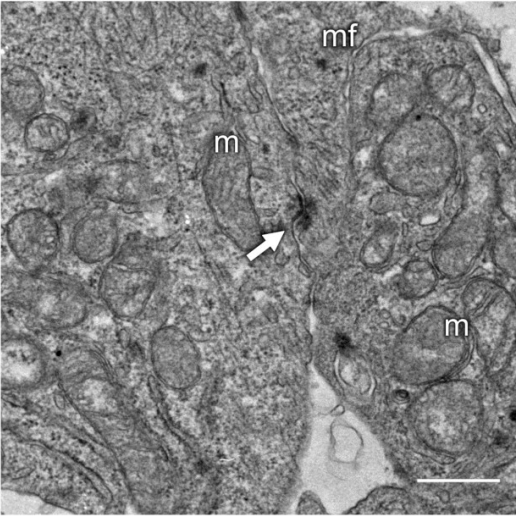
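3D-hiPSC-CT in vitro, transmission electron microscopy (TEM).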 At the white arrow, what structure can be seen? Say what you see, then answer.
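The arrow points to a small electron-dense plaque at the border between two cells. The dense material sits where two cell membranes meet.
Answer: desmosomes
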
